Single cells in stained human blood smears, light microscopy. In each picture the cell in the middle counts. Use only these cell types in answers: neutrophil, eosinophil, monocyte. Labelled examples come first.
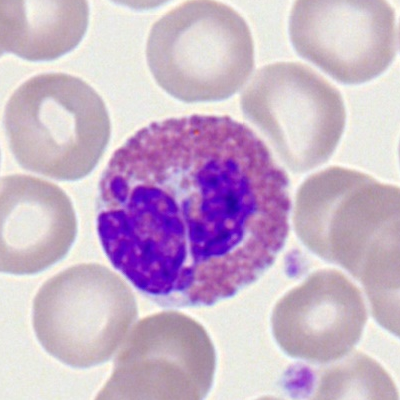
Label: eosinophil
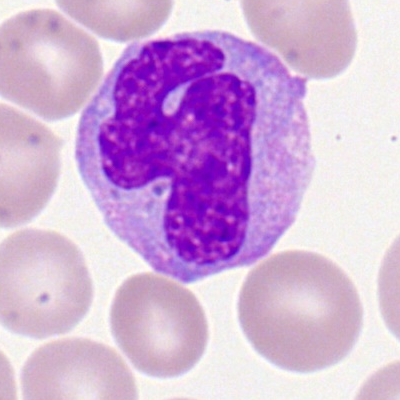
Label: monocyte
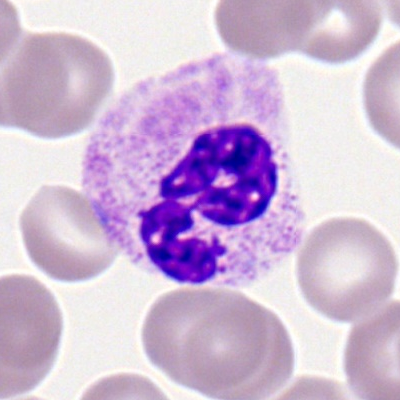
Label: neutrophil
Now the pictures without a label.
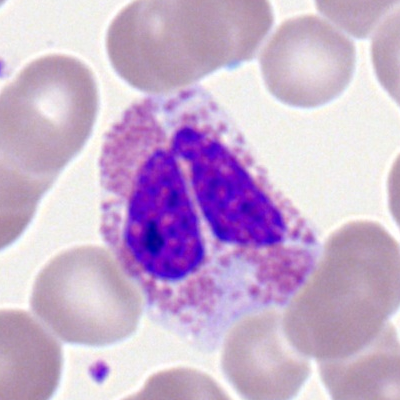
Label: eosinophil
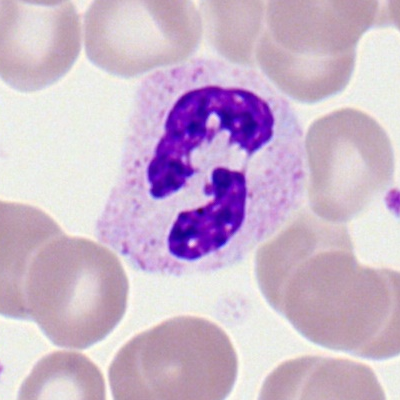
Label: neutrophil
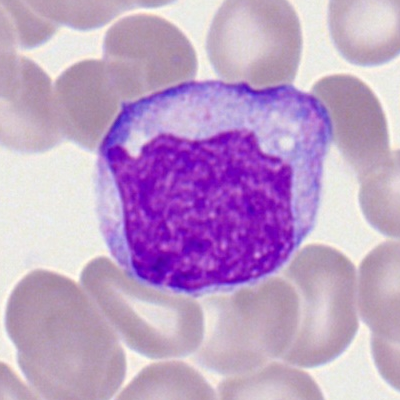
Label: monocyte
